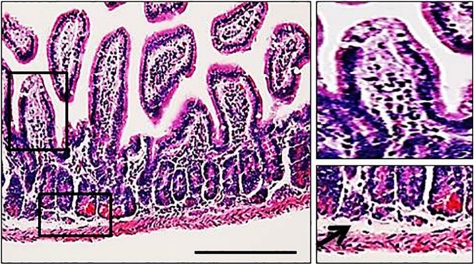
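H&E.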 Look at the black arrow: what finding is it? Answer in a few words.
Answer: Enlarged space between the crypt base and the muscularis mucosa.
